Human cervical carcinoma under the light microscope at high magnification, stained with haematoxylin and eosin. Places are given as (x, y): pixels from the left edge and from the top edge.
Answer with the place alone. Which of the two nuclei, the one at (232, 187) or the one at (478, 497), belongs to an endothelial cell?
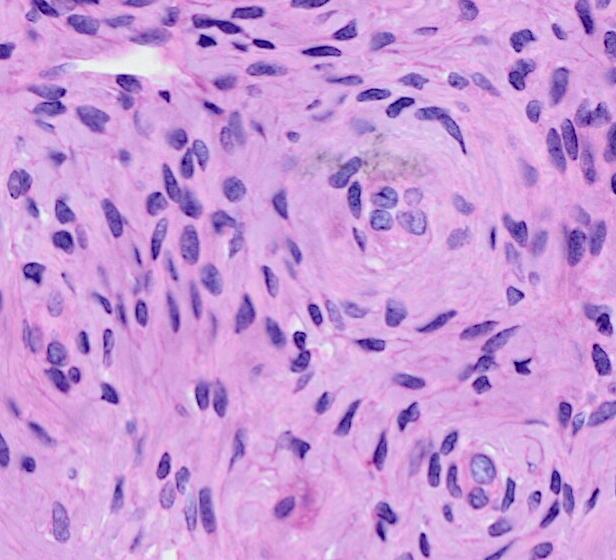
(478, 497)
